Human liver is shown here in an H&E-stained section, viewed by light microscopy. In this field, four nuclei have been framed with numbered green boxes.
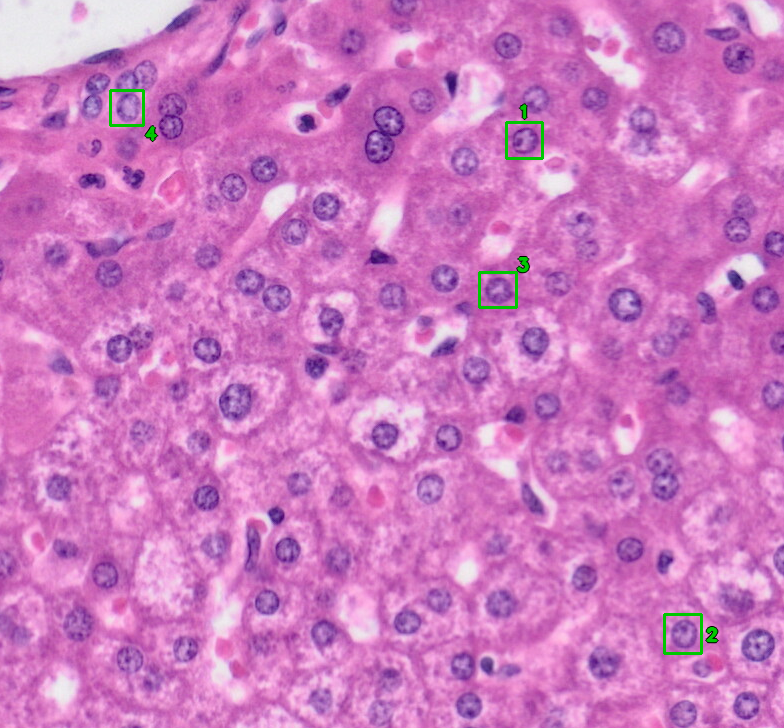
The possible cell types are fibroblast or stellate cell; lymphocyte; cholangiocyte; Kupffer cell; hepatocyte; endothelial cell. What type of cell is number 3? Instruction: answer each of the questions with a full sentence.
Cell 3, among those numbered, is a hepatocyte.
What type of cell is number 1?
Cell 1 in the field is a hepatocyte.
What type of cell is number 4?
Cell 4, as marked in the section, is a cholangiocyte.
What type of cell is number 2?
In this section, number 2 marks a hepatocyte.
